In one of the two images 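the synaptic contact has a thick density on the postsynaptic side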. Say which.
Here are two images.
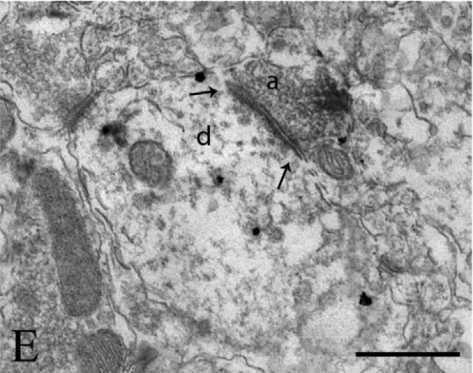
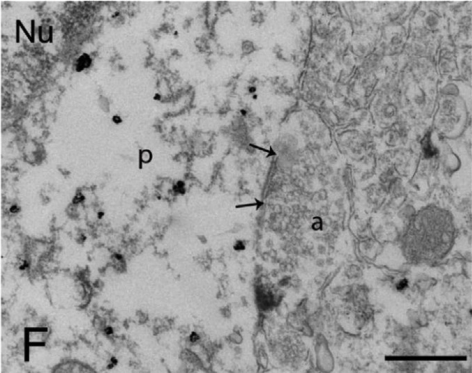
The first image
